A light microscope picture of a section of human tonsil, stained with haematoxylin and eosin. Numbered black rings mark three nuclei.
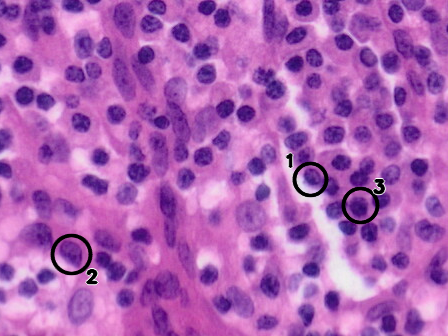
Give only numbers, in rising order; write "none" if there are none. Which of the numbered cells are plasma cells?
1, 3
